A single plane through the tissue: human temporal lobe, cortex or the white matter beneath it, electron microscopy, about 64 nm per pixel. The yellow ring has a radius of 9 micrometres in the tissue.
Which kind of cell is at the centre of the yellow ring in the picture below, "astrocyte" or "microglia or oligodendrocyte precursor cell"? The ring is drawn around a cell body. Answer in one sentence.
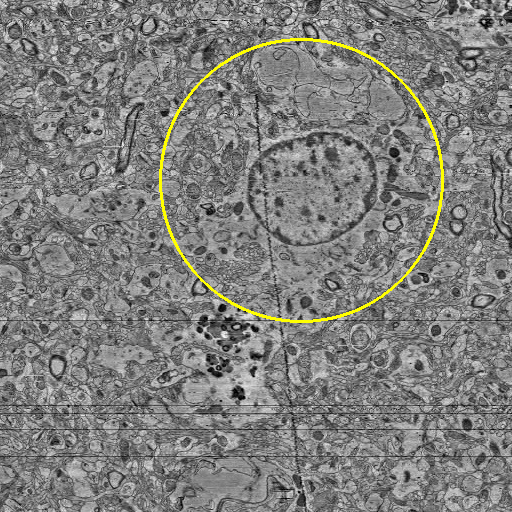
The ring's central cell is an astrocyte.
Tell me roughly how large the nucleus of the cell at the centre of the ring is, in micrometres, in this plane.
In this plane, roughly 8 by 7 micrometres.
